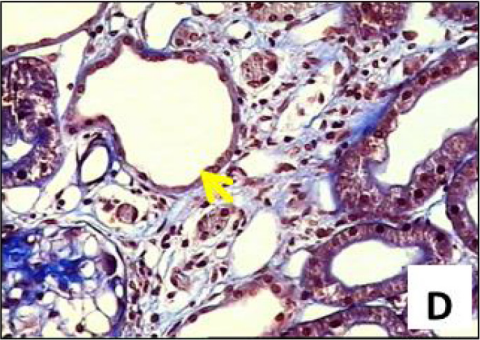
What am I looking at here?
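Kidney cortex in which tubules are separated by a widened interstitium containing blue-stained fibres and numerous scattered cells with dark nuclei. One tubule in the centre is markedly dilated, with a thin, flattened epithelial lining around a large empty lumen. Other tubules at the edges keep a cuboidal epithelium with purple cytoplasm and round nuclei.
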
